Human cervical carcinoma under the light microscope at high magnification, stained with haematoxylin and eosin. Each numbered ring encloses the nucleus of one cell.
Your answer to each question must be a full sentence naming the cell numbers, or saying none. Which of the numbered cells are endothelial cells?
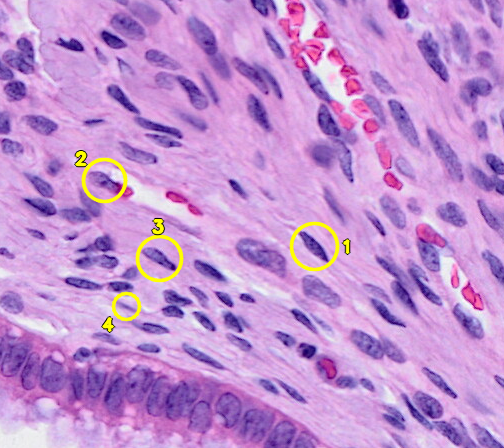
The nucleus labelled 2 alone belongs to an endothelial cell; the other marked nuclei do not.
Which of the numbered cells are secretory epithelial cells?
Across the numbered cells, there are no secretory epithelial cells.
